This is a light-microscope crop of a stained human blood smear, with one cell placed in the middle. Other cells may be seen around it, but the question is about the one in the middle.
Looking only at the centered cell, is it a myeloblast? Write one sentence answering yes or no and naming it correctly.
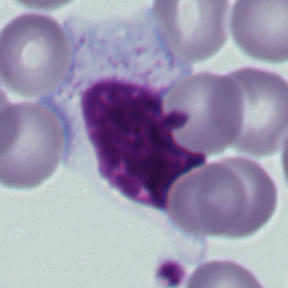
No, the central cell is classed as a large granular lymphocyte, not a myeloblast.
